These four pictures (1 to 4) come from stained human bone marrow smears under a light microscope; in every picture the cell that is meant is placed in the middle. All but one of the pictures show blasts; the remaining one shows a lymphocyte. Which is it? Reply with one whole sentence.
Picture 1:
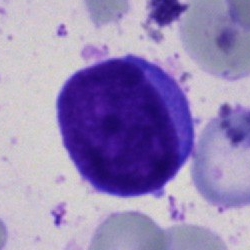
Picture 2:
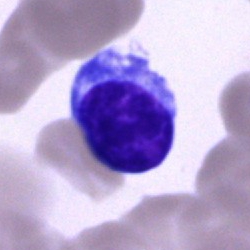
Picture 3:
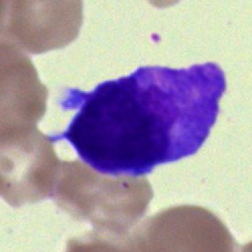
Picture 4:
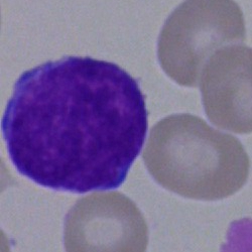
The cell in picture 2 is the lymphocyte.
